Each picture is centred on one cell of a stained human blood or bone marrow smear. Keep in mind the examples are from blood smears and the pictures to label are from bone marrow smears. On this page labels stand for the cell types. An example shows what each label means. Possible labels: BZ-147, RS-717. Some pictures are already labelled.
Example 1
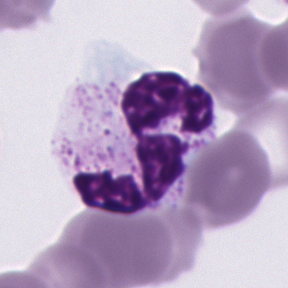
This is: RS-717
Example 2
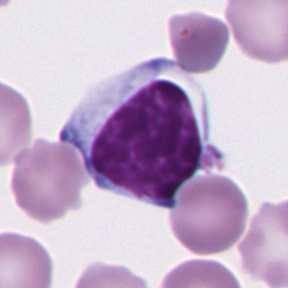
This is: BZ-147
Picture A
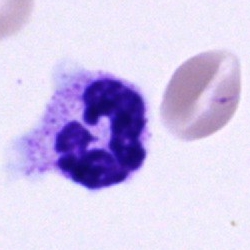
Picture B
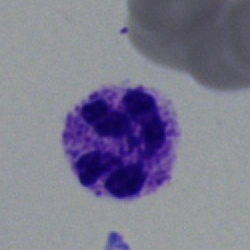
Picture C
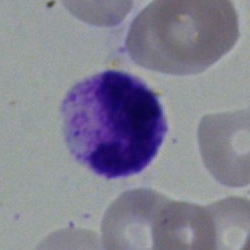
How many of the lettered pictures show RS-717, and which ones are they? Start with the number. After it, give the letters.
3, namely A, B, C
